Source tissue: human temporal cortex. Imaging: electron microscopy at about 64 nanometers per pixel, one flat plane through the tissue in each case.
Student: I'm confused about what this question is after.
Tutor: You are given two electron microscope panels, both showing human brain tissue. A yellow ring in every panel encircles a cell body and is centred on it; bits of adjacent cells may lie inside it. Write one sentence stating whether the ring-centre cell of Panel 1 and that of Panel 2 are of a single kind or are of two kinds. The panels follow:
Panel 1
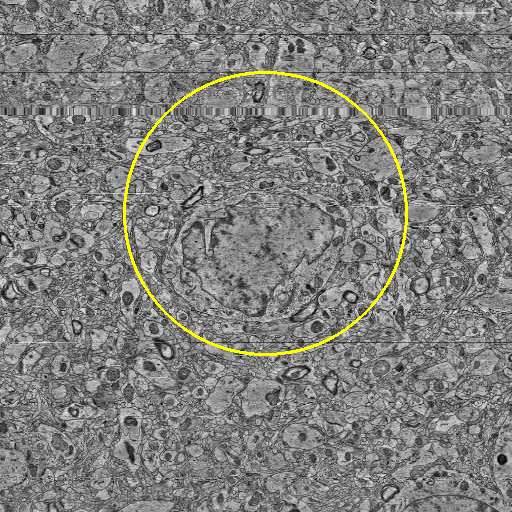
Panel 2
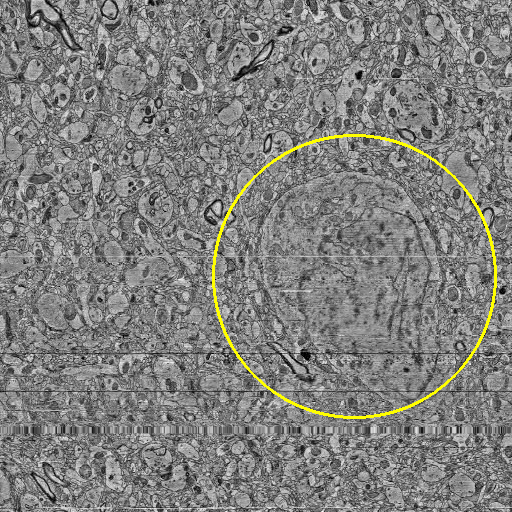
Here, the Panel 1 ring-centre cell and the Panel 2 ring-centre cell are of a single kind.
